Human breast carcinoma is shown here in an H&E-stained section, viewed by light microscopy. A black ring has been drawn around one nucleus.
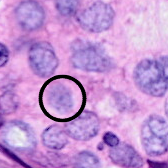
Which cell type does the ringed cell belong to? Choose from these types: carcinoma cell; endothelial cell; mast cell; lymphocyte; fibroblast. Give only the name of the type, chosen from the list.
carcinoma cell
